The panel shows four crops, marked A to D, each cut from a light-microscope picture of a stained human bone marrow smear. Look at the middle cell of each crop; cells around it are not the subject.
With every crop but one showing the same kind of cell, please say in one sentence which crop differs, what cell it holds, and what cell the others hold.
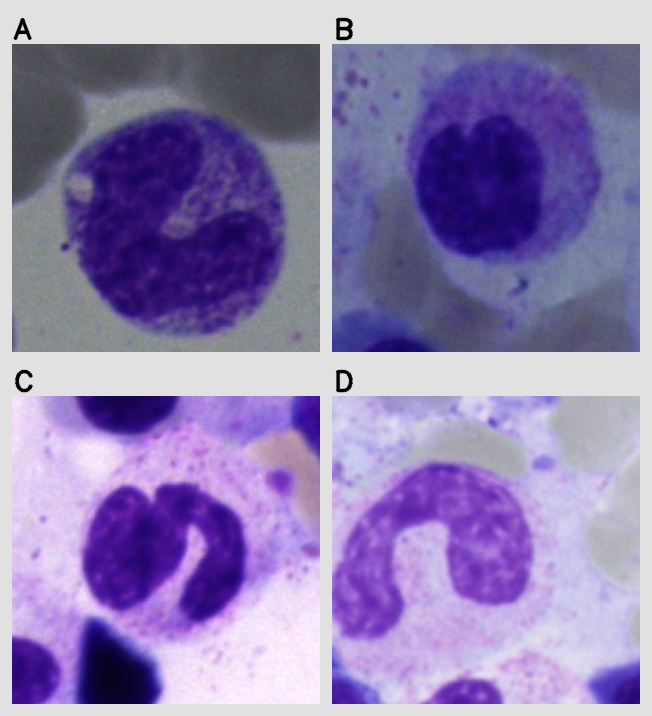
The odd one out is crop C, a segmented neutrophil, and all other crops show band neutrophils.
